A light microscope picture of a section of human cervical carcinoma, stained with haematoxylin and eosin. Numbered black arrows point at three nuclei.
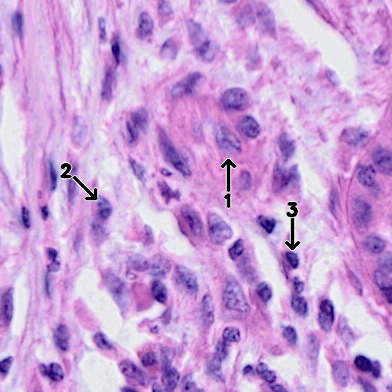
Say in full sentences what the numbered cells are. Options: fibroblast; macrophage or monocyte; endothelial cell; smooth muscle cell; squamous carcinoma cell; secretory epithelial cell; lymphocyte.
Cell 1 is an endothelial cell. Cells 2 and 3 are lymphocytes.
